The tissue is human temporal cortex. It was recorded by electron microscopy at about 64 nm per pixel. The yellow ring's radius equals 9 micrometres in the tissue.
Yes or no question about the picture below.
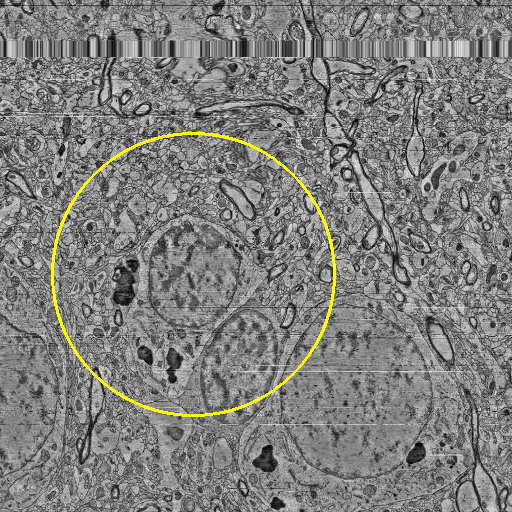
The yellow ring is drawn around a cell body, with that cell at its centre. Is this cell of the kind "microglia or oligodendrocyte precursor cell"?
no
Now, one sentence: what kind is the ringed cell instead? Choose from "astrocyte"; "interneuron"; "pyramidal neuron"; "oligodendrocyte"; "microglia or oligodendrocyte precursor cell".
The cell at the middle of the ring is an interneuron.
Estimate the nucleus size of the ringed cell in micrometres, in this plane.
About 7 by 6 micrometers for the nucleus, in this plane.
